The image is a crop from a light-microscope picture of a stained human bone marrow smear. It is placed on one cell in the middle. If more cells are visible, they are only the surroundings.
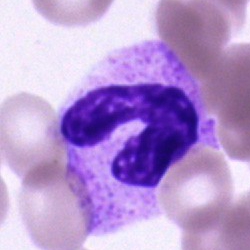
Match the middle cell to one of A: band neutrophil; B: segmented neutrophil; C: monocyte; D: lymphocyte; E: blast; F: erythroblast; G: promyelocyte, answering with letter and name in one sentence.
The middle of the crop contains a band neutrophil, so option A is right.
